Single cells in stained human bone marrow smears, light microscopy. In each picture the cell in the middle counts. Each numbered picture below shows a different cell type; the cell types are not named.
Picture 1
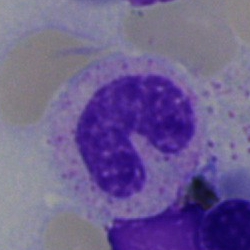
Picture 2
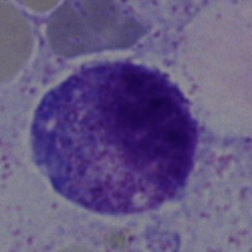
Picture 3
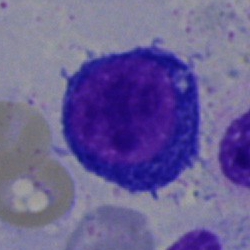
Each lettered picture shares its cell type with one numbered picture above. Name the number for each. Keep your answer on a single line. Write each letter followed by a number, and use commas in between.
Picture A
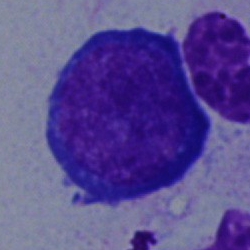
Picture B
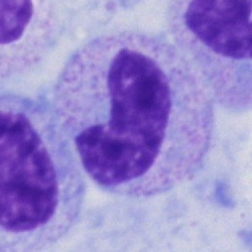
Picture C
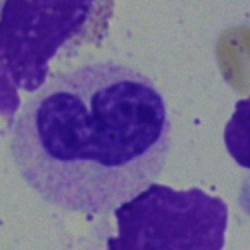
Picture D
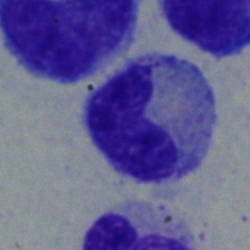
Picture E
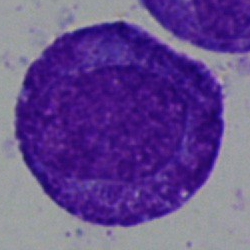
A 3, B 1, C 1, D 1, E 2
